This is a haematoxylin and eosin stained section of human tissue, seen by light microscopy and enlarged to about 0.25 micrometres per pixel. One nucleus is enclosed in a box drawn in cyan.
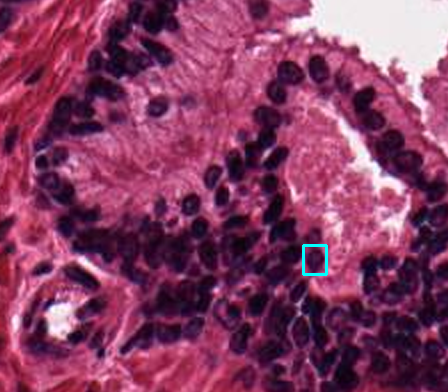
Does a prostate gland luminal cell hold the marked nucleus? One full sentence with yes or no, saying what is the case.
Yes, the marked nucleus is one that belongs to a prostate gland luminal cell.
